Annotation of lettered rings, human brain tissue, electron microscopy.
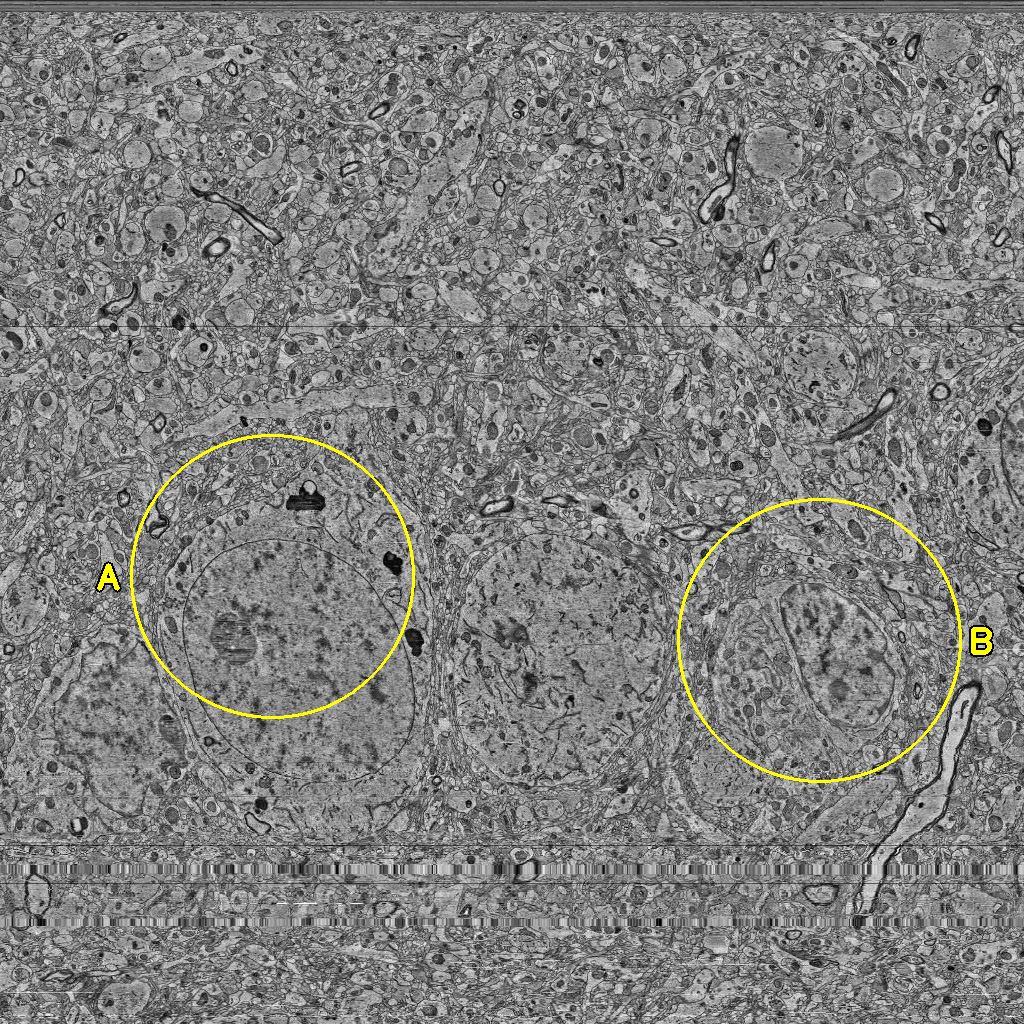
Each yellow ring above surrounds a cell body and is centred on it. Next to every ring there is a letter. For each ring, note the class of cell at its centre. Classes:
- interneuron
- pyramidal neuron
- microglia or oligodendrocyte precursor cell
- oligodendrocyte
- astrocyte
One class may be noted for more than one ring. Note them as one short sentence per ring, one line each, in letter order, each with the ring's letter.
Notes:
The class noted at ring A is a pyramidal neuron.
The class noted at ring B is a microglial cell or oligodendrocyte precursor cell.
